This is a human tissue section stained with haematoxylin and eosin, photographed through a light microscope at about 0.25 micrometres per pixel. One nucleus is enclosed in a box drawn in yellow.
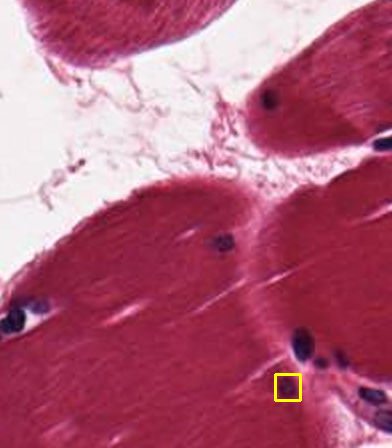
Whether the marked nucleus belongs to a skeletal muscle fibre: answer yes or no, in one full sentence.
Yes, in this field of view the marked nucleus belongs to a skeletal muscle fibre.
